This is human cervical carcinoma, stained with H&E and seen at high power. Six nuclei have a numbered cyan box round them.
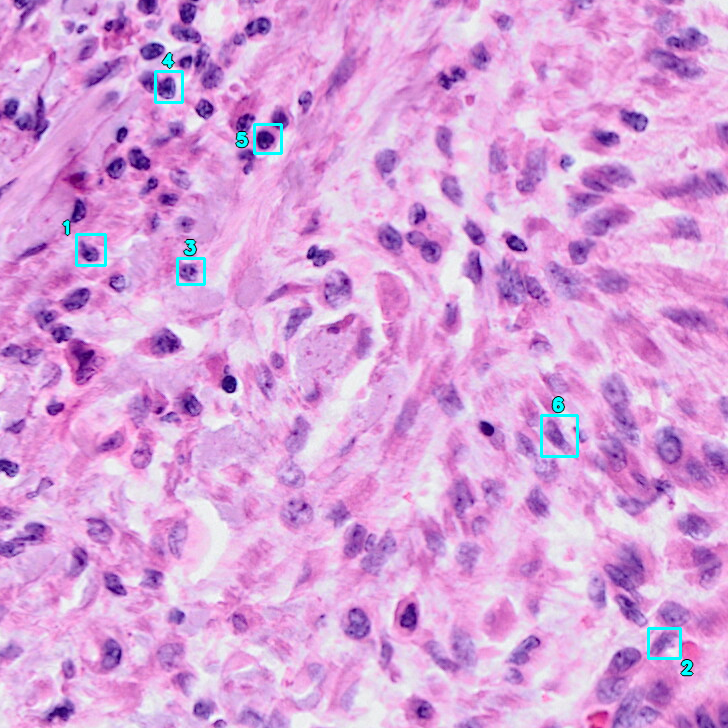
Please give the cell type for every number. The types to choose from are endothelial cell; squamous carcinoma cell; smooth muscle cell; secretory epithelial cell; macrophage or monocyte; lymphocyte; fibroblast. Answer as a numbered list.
1. lymphocyte
2. endothelial cell
3. lymphocyte
4. lymphocyte
5. lymphocyte
6. fibroblast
